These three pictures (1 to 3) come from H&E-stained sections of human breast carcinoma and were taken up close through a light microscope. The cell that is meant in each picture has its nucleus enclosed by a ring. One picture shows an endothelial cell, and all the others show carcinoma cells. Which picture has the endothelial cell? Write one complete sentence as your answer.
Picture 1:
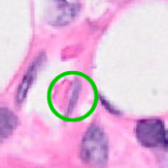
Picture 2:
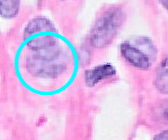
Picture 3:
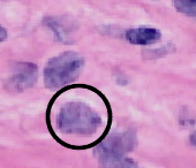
The picture with the endothelial cell is 1.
